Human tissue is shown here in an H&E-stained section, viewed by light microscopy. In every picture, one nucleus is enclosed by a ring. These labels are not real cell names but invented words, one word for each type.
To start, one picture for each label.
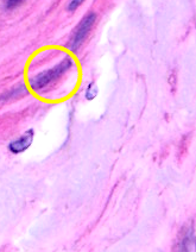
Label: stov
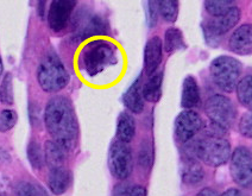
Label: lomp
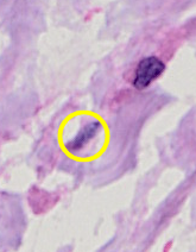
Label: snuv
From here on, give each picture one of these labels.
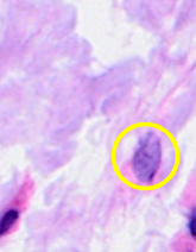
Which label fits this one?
snuv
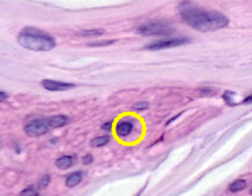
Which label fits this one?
stov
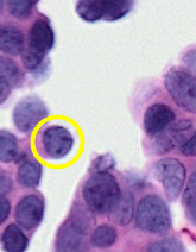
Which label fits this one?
lomp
